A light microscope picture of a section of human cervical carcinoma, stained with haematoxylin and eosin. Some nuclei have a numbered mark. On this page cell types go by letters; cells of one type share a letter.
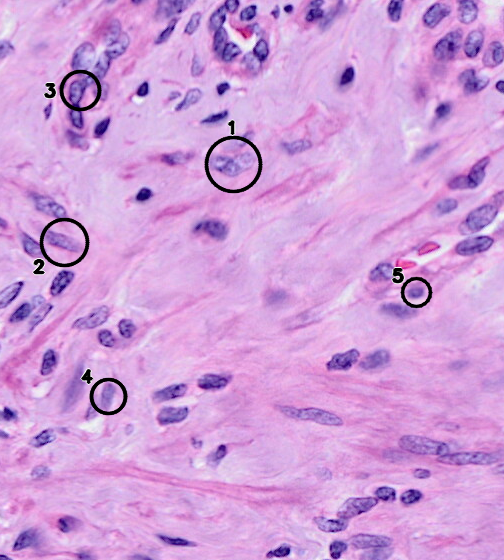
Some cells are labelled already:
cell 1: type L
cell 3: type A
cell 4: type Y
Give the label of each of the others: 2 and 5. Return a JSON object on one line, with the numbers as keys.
{"2": "type L", "5": "type A"}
